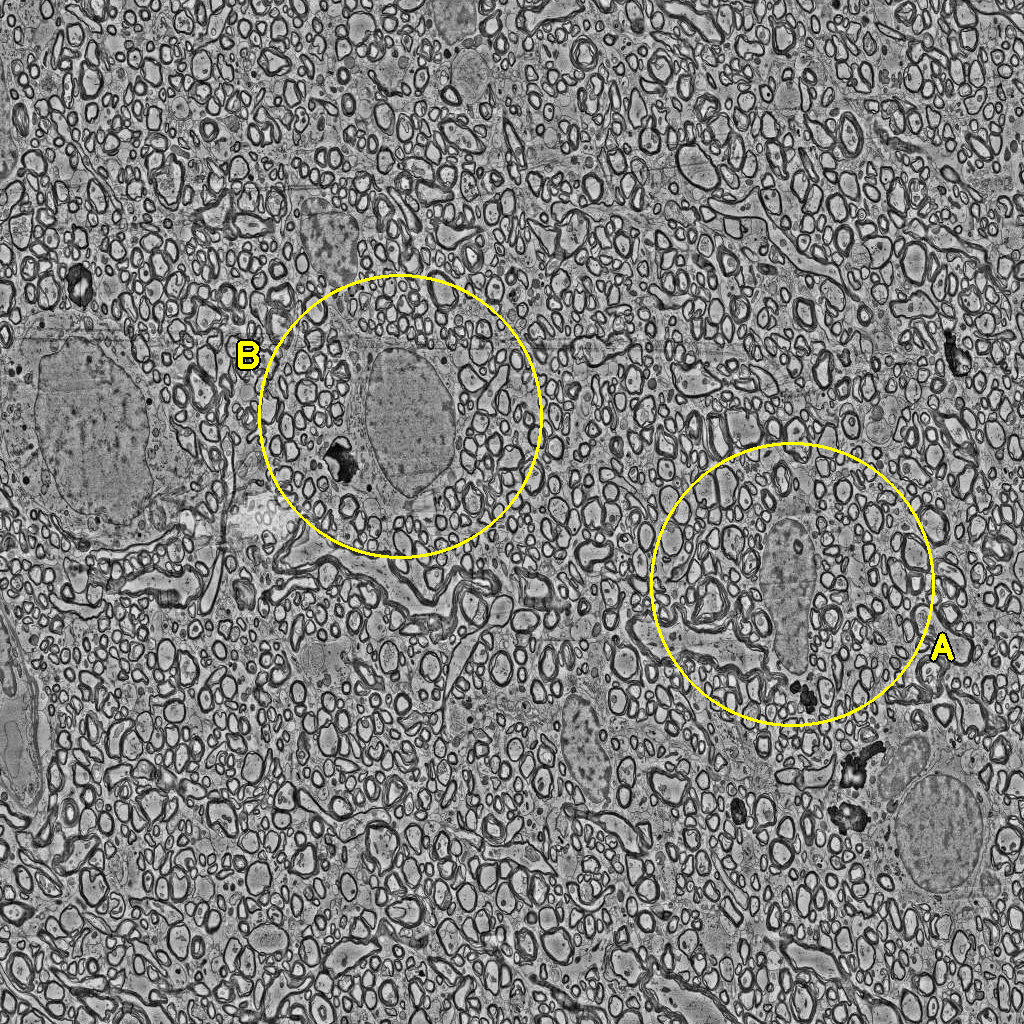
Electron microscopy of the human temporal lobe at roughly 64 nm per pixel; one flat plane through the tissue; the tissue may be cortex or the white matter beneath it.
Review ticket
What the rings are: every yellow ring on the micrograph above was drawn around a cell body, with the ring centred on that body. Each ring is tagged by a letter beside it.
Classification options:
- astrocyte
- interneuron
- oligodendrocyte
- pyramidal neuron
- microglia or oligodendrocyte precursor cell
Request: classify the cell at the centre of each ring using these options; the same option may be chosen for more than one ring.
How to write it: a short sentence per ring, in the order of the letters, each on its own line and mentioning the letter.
The cell centred in ring A is an oligodendrocyte.
The cell centred in ring B is an astrocyte.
